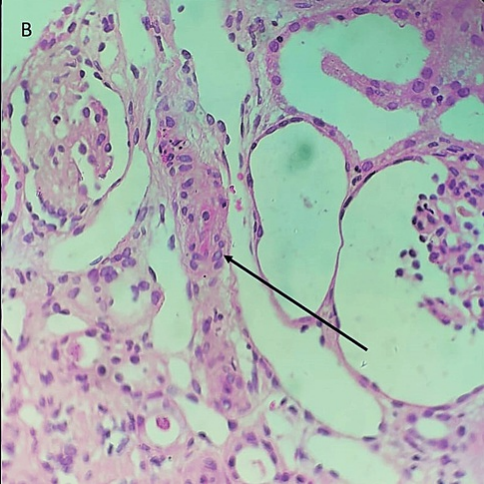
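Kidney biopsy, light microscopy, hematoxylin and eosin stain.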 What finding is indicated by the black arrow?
Vessel changes with occlusion and fragmented red cells in the wall.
